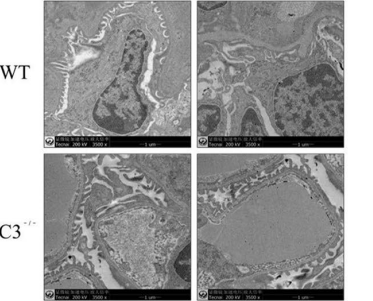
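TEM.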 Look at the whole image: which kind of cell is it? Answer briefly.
Glomerular podocytes.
